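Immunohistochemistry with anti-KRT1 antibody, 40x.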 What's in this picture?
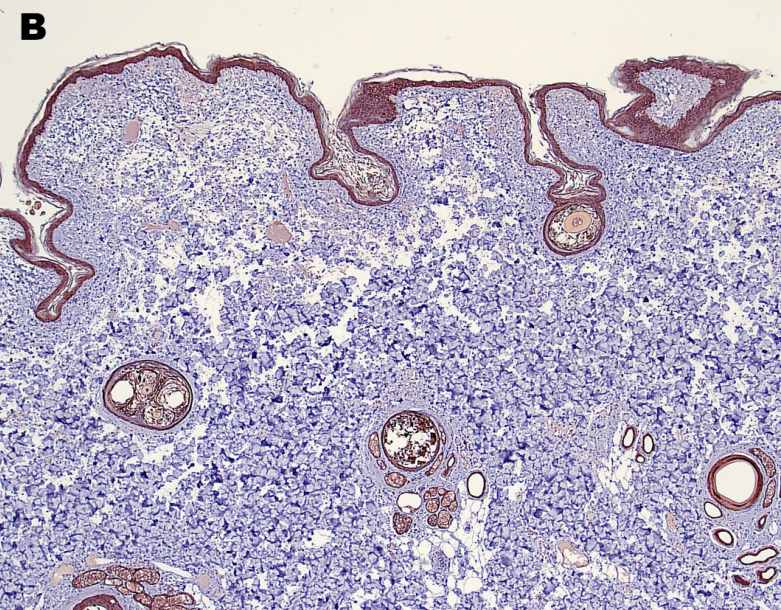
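This is haired skin in which a thin epidermis and the epithelia of hair follicles are stained reddish-brown, while the dermis is blue. The epidermis is only a few cell layers thick and is thrown into folds over a broad, loose dermis. Hair follicles appear as round cross-sections with stained epithelial walls surrounding keratin-filled lumens. Small clusters of stained epithelial profiles lie beside the follicles, and a few pale vessels are scattered in the dermis.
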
